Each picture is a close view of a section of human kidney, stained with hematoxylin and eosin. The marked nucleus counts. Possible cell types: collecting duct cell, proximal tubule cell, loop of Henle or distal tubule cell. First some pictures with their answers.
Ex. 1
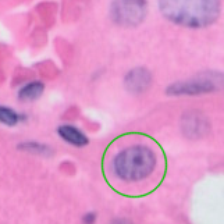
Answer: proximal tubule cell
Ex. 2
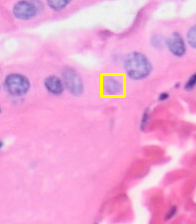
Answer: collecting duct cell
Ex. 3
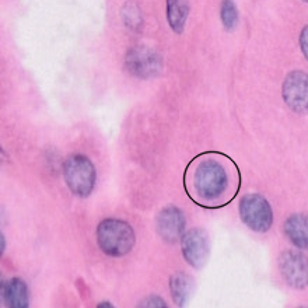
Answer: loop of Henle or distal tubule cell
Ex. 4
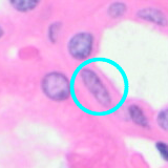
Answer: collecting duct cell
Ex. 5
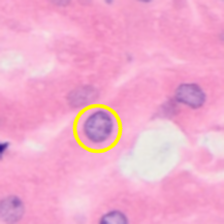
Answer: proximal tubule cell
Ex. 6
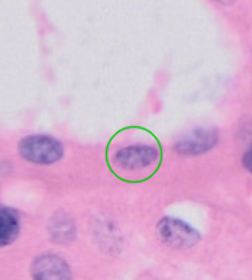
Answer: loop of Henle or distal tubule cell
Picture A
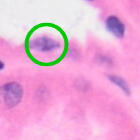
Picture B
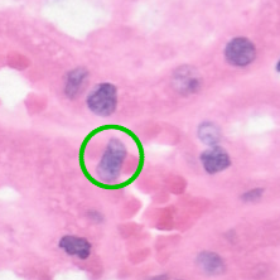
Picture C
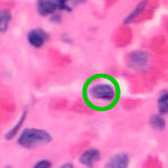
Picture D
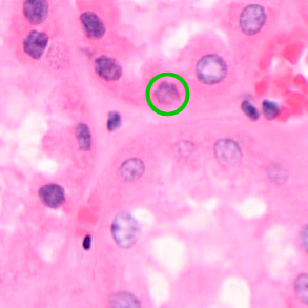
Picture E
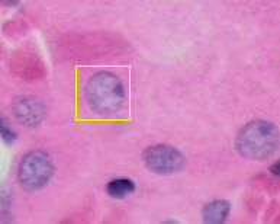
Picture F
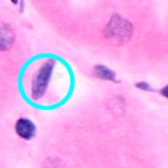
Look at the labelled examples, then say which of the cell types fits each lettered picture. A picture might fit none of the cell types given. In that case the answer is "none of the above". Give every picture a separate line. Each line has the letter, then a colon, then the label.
A: loop of Henle or distal tubule cell
B: none of the above
C: none of the above
D: proximal tubule cell
E: proximal tubule cell
F: none of the above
